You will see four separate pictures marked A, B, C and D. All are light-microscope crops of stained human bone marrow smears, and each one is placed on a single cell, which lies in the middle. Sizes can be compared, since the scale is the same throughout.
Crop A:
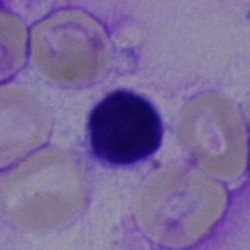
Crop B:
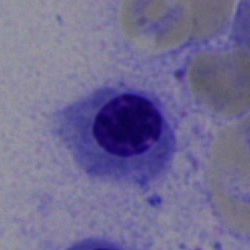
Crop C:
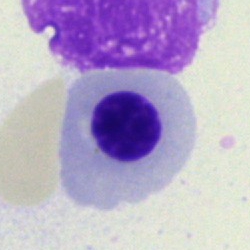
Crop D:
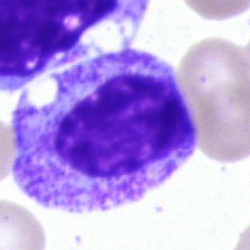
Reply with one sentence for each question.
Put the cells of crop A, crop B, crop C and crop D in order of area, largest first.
The order is D, C, B, A, beginning with the largest.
